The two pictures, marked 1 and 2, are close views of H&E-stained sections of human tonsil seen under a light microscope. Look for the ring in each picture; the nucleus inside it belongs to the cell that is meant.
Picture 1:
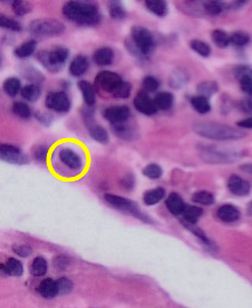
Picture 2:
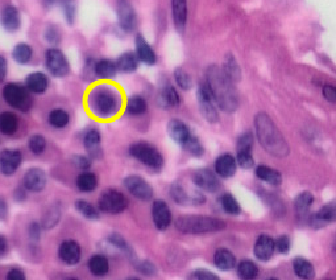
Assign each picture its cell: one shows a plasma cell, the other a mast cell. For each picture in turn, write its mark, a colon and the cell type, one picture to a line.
1: mast cell
2: plasma cell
